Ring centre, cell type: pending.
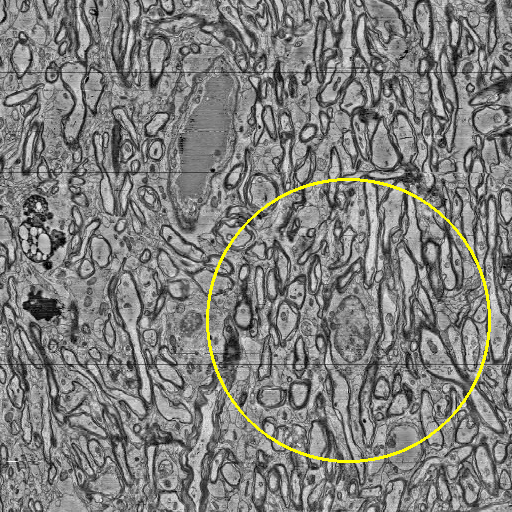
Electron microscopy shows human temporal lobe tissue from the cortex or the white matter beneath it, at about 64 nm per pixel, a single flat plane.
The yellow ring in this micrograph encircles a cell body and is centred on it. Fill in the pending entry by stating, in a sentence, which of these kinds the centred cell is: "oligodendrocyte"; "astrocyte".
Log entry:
The centred cell is recorded as an oligodendrocyte.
